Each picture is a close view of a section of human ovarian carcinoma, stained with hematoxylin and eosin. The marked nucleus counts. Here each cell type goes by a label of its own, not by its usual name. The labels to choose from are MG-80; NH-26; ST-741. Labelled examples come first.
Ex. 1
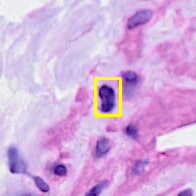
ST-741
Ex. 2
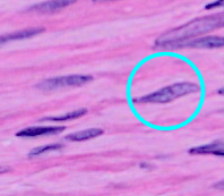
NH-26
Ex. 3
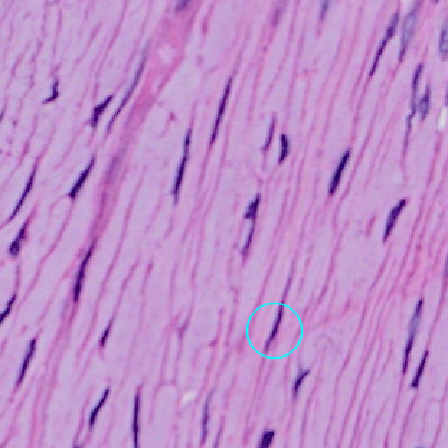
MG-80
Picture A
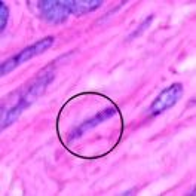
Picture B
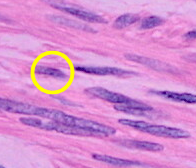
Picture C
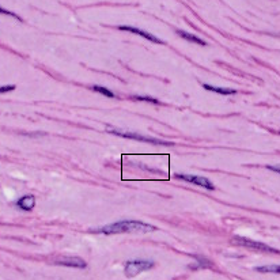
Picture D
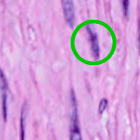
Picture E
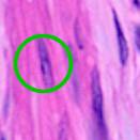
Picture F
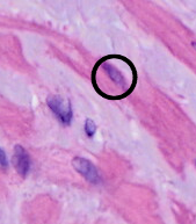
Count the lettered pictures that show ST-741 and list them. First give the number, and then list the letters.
0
